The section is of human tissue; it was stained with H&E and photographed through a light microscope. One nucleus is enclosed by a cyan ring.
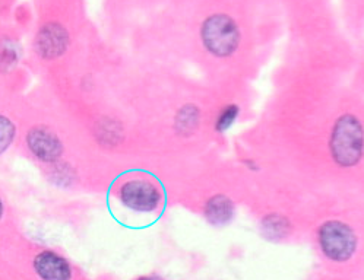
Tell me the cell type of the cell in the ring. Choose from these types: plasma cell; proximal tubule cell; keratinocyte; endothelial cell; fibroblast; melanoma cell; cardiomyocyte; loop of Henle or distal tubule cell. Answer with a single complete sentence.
Cytologically, the cell in the ring is to be regarded as a loop of Henle or distal tubule cell.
